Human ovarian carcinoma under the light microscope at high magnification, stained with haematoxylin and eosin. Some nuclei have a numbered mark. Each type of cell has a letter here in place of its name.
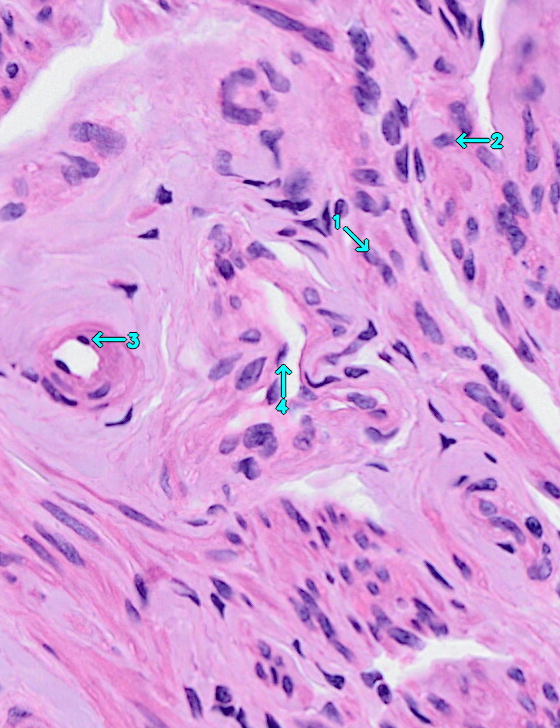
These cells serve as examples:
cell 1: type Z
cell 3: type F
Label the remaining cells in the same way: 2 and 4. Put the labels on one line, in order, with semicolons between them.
type Z; type F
